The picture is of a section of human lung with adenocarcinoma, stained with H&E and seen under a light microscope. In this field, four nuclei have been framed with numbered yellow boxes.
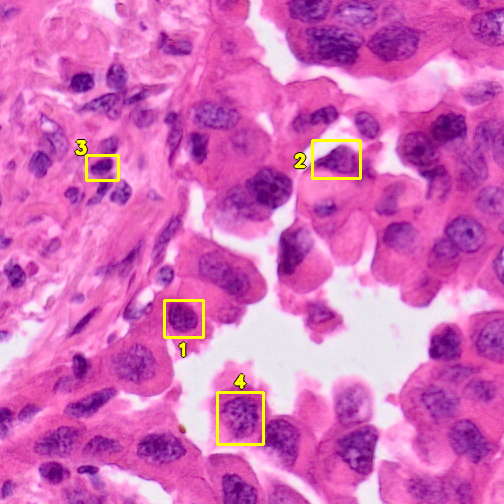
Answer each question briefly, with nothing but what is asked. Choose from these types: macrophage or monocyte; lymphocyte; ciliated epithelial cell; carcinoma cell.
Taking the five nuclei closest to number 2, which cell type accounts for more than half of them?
macrophage or monocyte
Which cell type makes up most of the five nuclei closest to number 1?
carcinoma cell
